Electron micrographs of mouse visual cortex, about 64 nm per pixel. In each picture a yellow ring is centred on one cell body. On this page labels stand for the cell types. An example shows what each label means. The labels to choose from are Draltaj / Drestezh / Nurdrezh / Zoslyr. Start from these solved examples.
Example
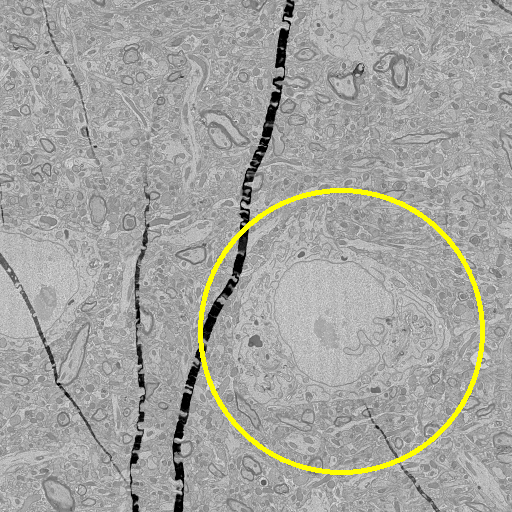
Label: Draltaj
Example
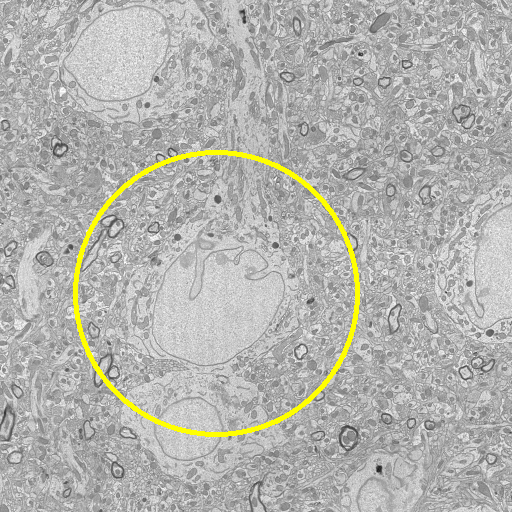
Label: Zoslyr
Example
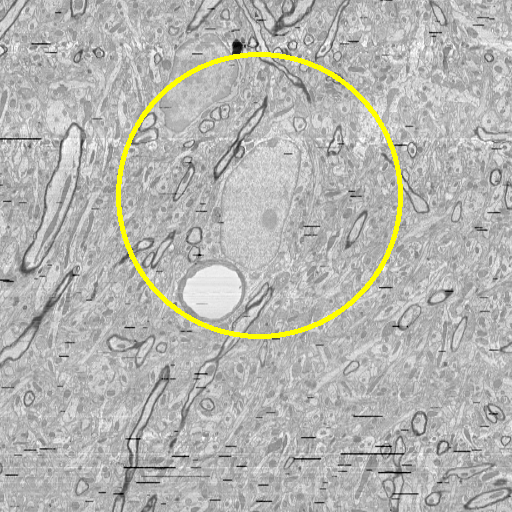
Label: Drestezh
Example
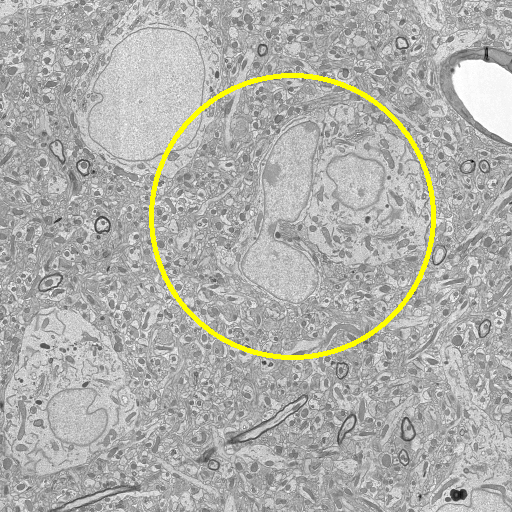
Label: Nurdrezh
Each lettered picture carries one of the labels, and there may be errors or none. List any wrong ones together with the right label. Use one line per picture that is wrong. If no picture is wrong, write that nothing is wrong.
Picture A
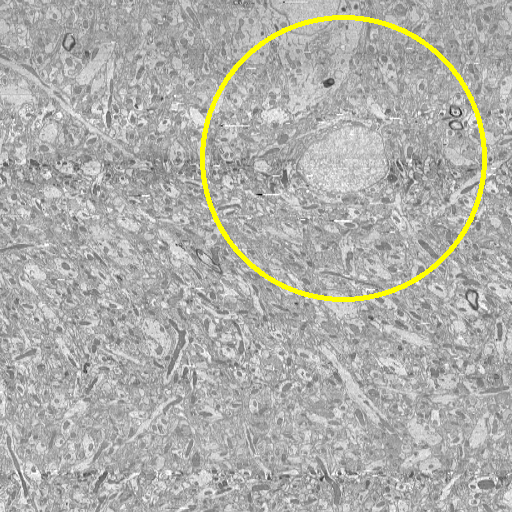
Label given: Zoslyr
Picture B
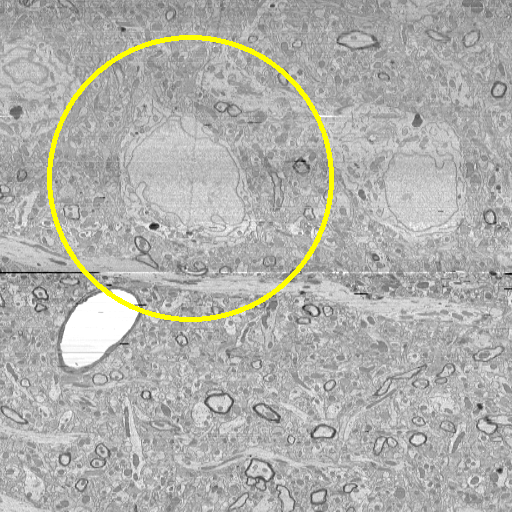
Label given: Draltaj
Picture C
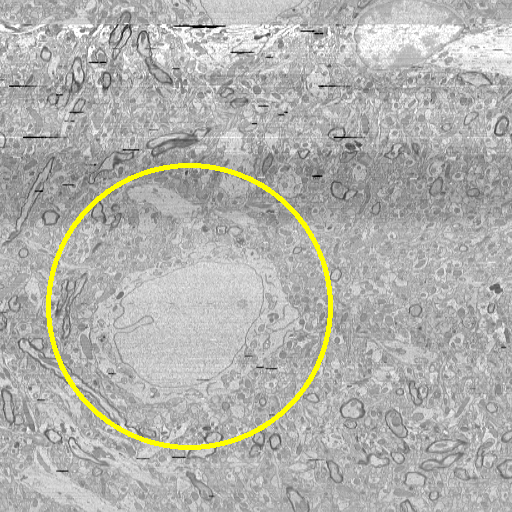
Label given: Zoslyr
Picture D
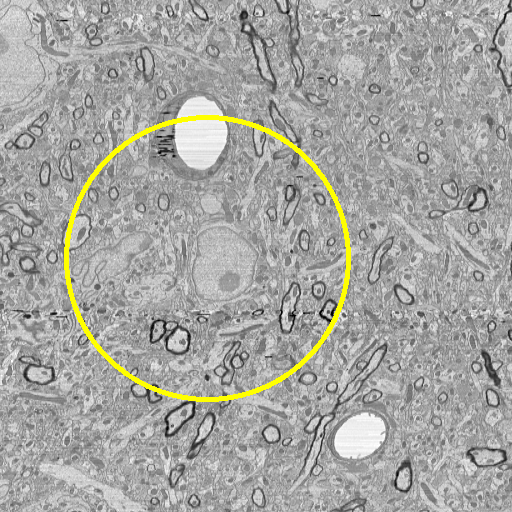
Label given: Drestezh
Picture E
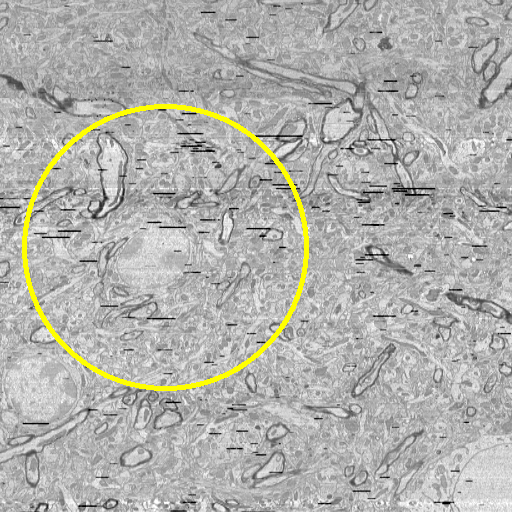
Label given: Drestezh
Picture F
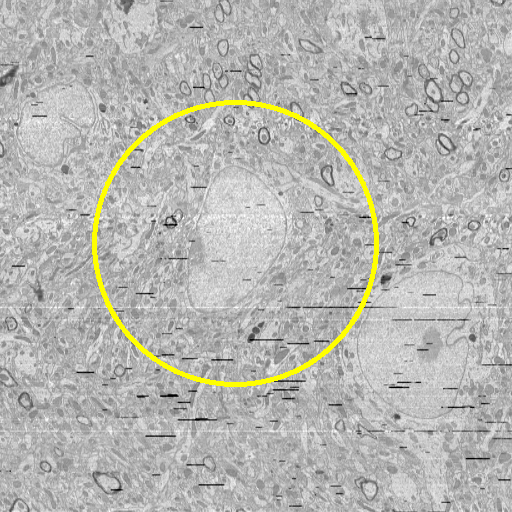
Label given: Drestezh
A should be Drestezh, not Zoslyr
D should be Nurdrezh, not Drestezh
